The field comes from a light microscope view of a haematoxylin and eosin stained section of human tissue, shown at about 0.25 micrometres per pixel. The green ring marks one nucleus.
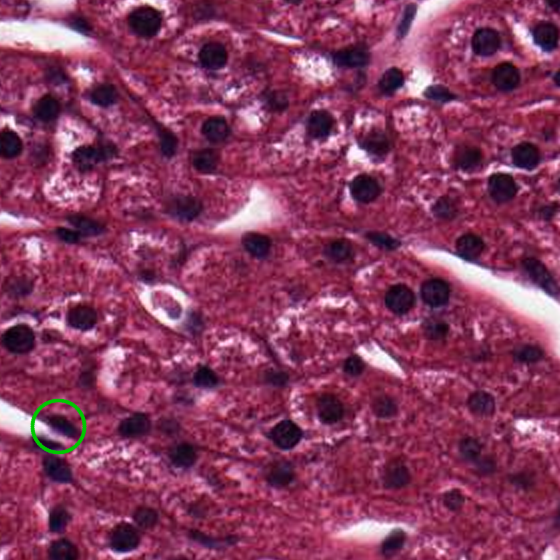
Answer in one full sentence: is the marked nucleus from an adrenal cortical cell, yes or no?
No, the marked nucleus belongs to a supporting cell of connective tissue, a vessel or the immune system, not to an adrenal cortical cell.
